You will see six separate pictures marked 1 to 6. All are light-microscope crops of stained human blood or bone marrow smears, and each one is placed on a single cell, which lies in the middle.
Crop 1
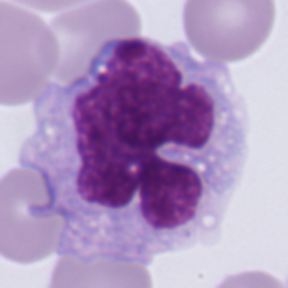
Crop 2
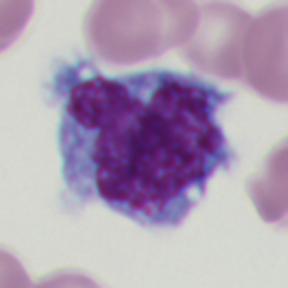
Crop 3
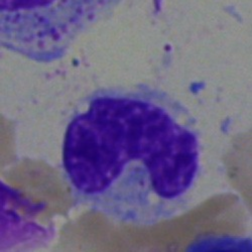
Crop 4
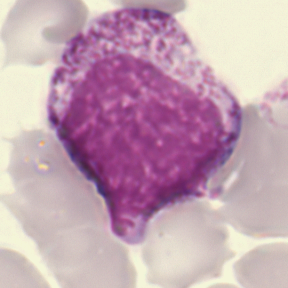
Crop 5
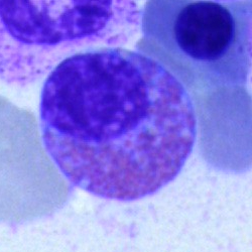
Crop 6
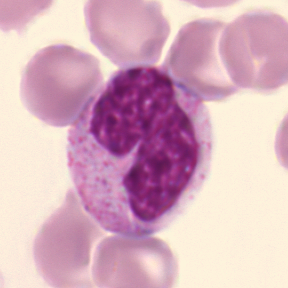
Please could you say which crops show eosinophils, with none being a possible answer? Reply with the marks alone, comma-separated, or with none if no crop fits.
5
